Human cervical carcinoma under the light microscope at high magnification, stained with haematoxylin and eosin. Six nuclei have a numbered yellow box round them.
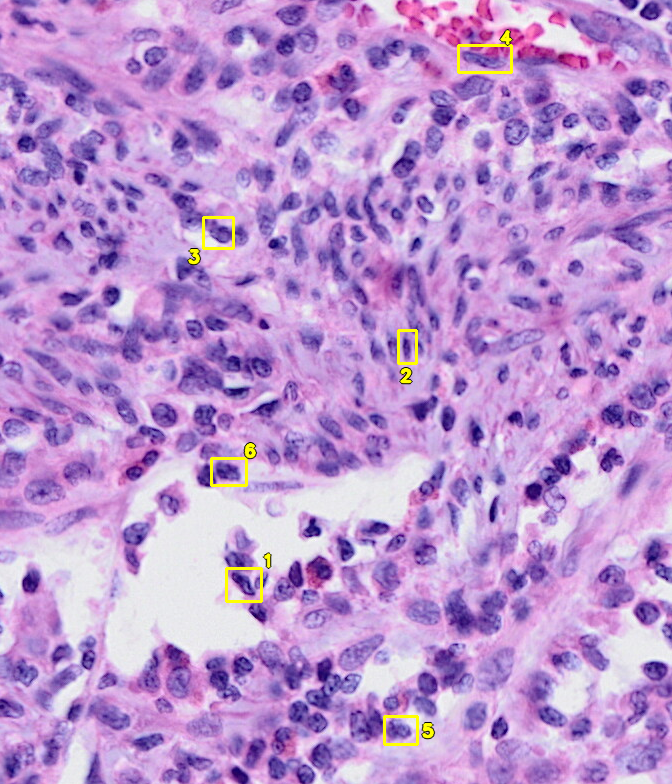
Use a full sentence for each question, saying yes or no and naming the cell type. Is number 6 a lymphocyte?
Yes, the cell marked by the number 6 is a lymphocyte.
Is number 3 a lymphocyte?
Yes, the cell denoted by 3 is a lymphocyte.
